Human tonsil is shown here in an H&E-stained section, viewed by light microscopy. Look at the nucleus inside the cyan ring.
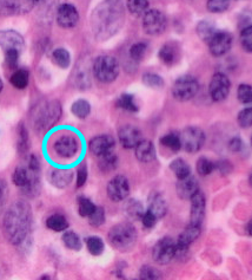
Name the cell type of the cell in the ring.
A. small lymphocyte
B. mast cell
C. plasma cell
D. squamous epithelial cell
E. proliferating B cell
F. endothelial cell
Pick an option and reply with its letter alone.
C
